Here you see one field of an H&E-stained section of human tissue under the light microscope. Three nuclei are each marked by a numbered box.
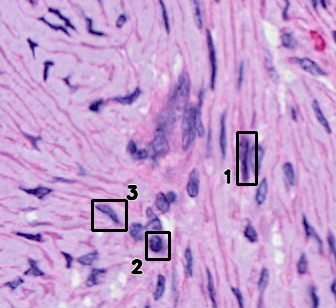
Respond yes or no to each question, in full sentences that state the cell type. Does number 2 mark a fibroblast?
No, cell 2 is not a fibroblast. It is a lymphocyte.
